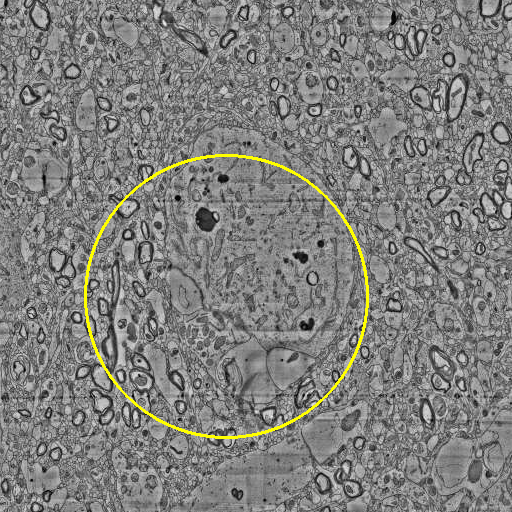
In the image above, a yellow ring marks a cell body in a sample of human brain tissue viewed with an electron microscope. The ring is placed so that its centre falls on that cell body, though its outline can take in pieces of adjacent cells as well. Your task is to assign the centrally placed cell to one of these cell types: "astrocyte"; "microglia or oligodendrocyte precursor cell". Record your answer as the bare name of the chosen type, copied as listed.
microglia or oligodendrocyte precursor cell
